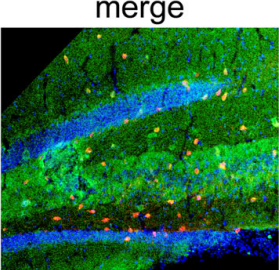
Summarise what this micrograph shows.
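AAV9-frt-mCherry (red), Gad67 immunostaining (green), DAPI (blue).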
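This is a section of the dentate gyrus, where scattered interneurons stand out against the densely packed granule cell layer. Two curved bands of tightly crowded blue nuclei mark the granule cell layer, with a looser zone lying between them. Individual red and yellow-orange cell bodies are spread sparsely along and between these bands, where red and green overlap. The densely packed granule cells within the bands are largely not red. The green stain fills the surrounding tissue as a fine granular background.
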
